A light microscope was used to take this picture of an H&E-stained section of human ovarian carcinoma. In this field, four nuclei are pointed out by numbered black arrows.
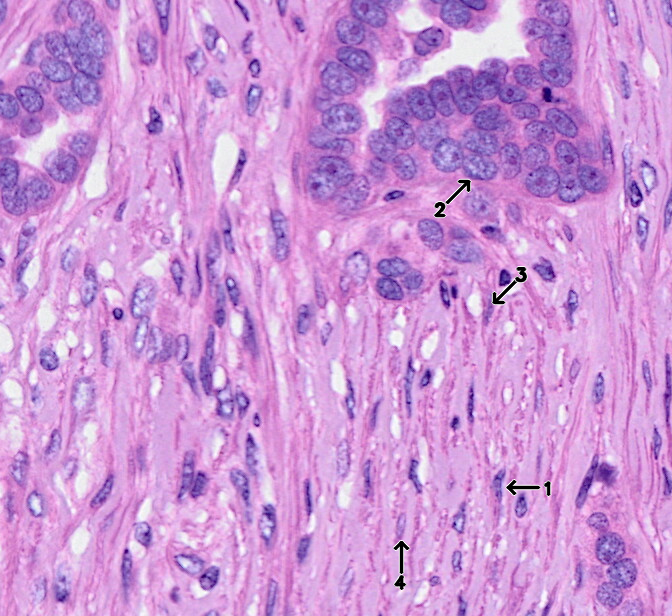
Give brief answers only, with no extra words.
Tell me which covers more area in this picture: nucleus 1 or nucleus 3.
1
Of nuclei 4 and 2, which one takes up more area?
2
